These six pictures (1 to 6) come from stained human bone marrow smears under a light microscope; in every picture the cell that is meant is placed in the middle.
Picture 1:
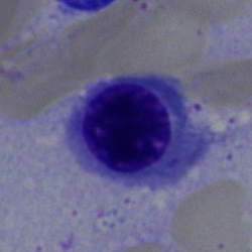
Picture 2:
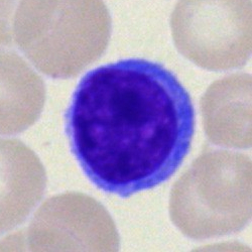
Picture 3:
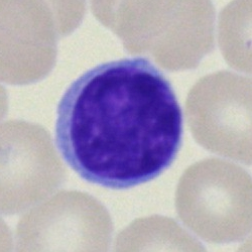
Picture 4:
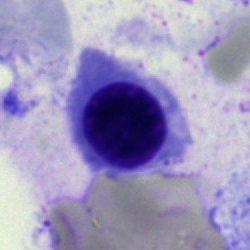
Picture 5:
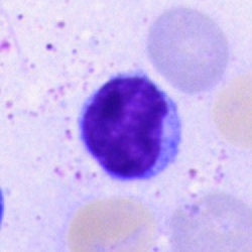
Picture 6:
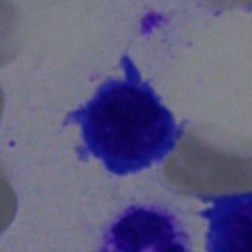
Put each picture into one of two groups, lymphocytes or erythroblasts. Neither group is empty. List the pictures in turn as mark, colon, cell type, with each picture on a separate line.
1: erythroblast
2: lymphocyte
3: lymphocyte
4: erythroblast
5: lymphocyte
6: erythroblast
